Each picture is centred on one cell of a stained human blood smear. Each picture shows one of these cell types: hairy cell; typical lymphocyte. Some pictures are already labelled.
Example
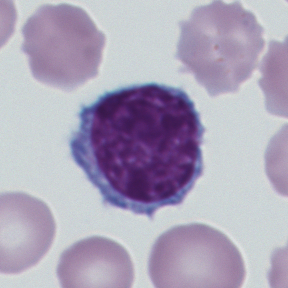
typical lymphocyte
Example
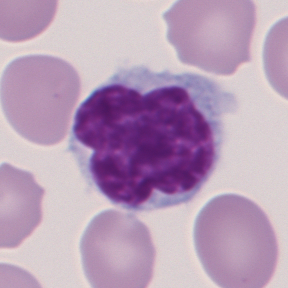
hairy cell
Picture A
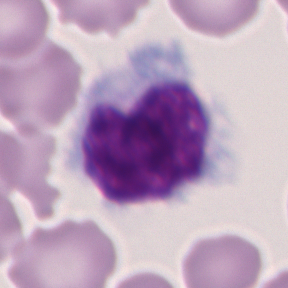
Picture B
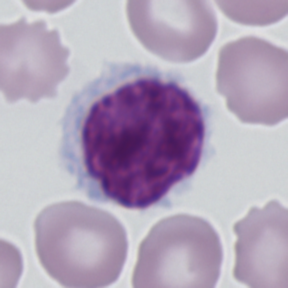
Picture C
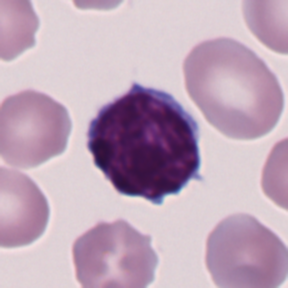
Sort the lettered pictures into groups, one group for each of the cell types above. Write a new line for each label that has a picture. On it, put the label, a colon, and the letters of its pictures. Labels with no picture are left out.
hairy cell: A, B
typical lymphocyte: C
